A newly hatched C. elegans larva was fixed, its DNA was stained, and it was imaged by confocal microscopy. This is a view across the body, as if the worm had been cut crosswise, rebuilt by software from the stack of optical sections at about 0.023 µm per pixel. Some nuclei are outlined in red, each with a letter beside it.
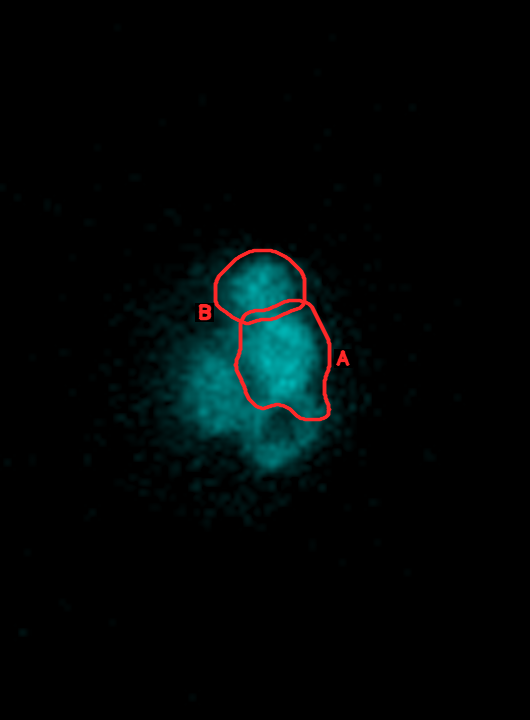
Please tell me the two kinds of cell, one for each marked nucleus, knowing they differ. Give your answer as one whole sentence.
B belongs to a hypodermal cell (hyp), and A to a neuron.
